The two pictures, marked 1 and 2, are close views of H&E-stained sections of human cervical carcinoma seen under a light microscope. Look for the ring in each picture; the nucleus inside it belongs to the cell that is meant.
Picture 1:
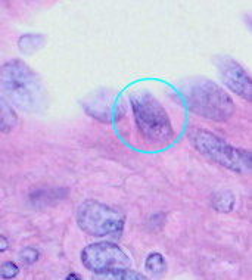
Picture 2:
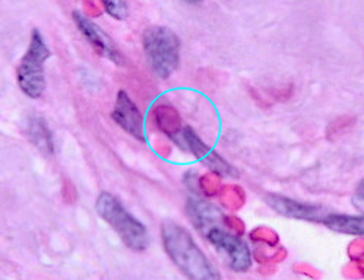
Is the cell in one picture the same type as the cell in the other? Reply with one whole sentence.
Yes; the cells in both pictures are endothelial cells.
